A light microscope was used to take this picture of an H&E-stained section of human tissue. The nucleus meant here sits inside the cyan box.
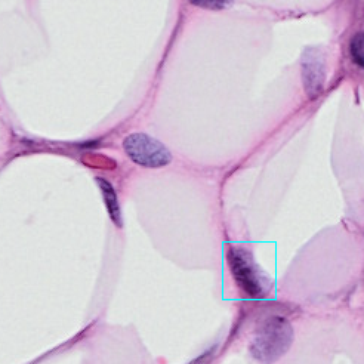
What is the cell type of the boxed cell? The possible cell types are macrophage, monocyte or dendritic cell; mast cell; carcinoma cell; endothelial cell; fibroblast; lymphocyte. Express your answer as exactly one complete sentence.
As classified here, the boxed cell is an endothelial cell.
